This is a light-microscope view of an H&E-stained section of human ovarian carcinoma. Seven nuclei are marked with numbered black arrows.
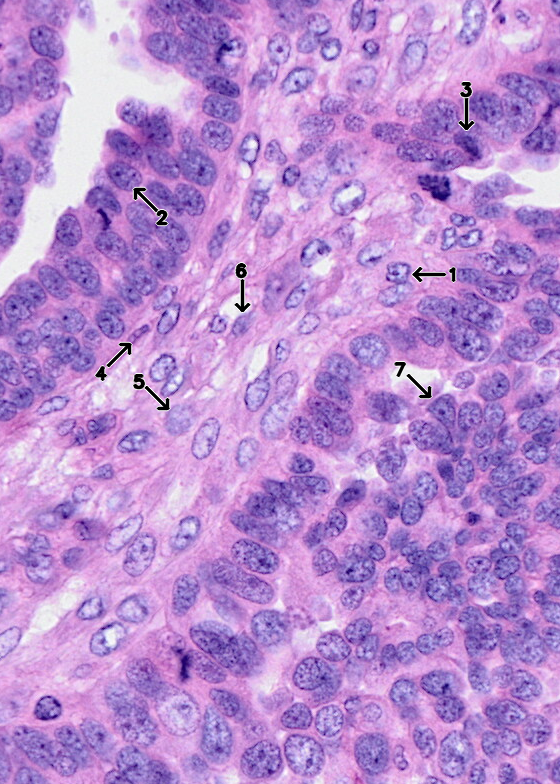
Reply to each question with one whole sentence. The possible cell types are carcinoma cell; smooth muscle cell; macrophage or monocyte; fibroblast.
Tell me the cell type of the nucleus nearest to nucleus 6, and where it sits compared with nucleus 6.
The closest nucleus belongs to a macrophage or monocyte and sits to the left of nucleus 6.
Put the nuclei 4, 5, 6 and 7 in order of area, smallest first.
The order from the smallest nucleus to the largest is 4, 6, 7, 5.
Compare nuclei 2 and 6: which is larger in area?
Nucleus 2 is larger, with an area about 2 times that of nucleus 6.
